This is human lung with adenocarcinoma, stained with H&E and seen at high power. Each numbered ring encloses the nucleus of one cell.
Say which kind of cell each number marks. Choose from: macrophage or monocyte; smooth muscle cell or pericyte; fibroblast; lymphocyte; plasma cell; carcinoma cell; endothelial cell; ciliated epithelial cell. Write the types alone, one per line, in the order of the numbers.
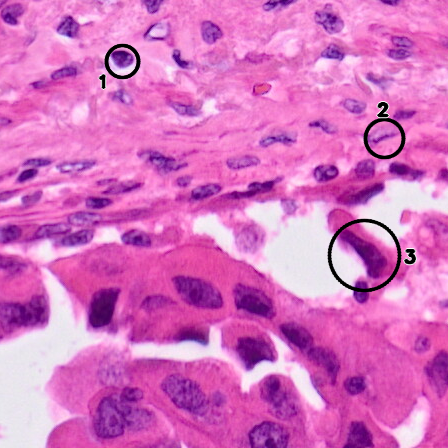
lymphocyte
fibroblast
carcinoma cell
